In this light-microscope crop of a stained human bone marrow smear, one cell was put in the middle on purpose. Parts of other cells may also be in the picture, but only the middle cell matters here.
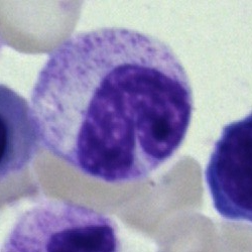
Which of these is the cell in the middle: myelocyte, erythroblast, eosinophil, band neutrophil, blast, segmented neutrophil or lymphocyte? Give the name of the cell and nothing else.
band neutrophil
